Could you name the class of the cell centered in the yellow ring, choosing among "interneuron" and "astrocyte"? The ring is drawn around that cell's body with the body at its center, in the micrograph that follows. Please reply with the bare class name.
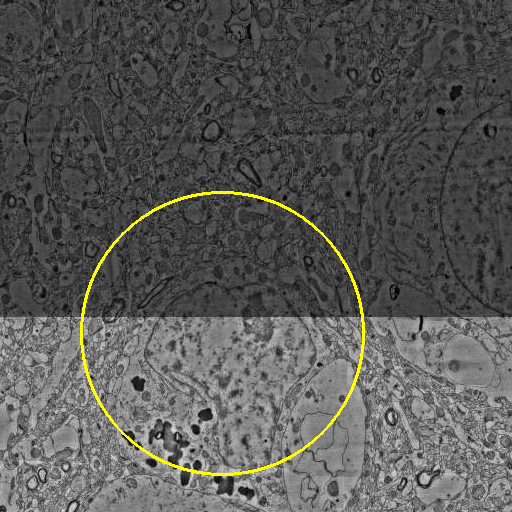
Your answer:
interneuron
